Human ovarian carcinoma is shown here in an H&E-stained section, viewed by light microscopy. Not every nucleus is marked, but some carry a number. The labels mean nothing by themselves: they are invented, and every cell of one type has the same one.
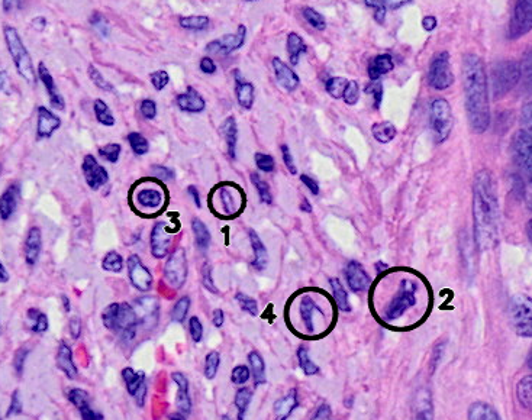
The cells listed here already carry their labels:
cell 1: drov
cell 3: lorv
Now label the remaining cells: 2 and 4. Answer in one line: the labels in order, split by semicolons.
lorv; drov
